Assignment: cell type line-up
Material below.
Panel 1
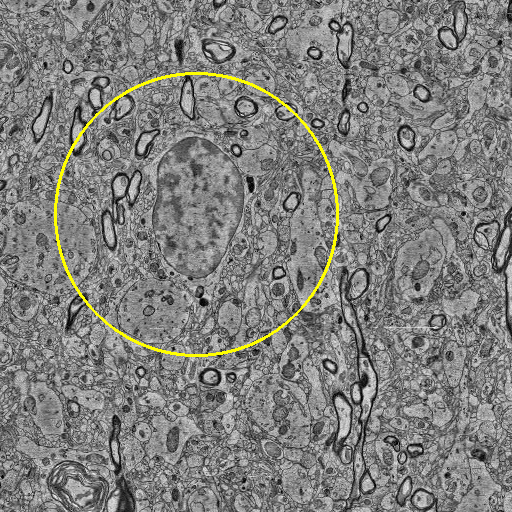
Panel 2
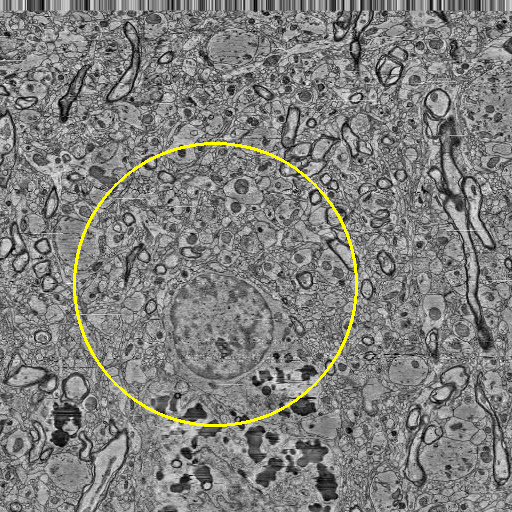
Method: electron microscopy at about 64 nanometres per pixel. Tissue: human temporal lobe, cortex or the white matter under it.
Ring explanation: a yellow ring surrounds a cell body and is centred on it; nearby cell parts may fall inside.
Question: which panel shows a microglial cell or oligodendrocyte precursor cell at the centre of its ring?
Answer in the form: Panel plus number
Panel 1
